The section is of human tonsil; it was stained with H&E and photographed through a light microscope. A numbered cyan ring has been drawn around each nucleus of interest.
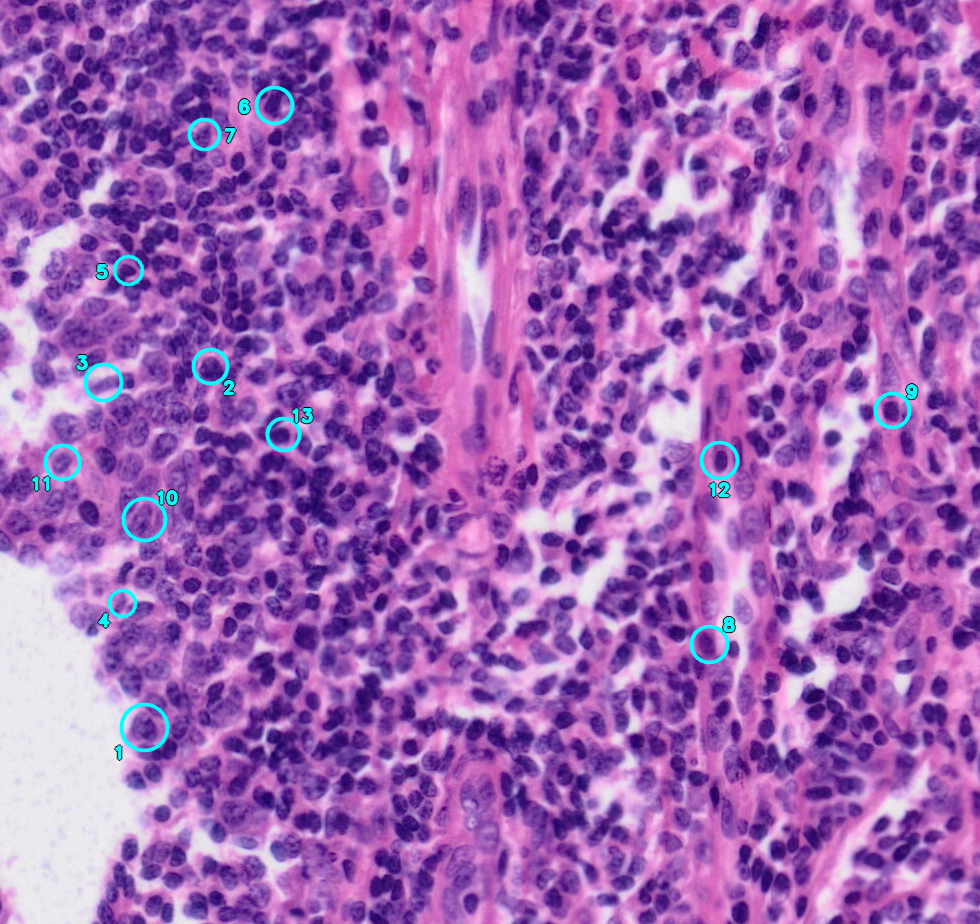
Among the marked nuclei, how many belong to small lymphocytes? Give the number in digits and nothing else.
5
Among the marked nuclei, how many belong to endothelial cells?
3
